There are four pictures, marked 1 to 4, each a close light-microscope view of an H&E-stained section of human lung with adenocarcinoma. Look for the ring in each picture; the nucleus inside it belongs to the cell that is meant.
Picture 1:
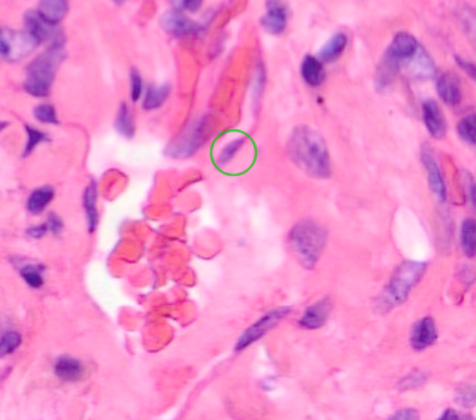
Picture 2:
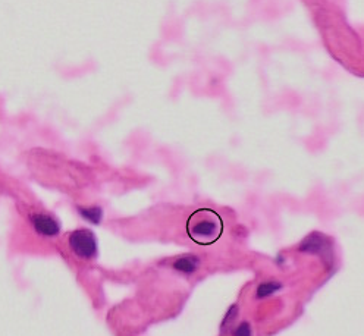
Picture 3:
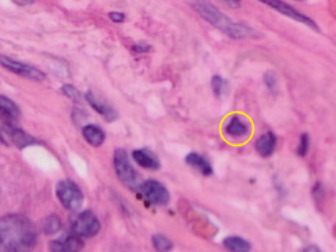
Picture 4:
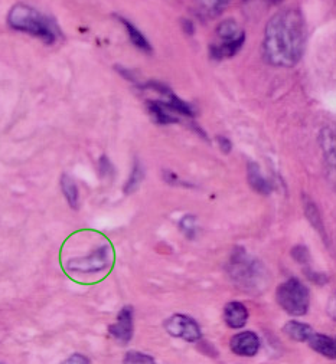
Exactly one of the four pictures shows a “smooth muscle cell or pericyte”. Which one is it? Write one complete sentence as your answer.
It is picture 3 that shows the “smooth muscle cell or pericyte”.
